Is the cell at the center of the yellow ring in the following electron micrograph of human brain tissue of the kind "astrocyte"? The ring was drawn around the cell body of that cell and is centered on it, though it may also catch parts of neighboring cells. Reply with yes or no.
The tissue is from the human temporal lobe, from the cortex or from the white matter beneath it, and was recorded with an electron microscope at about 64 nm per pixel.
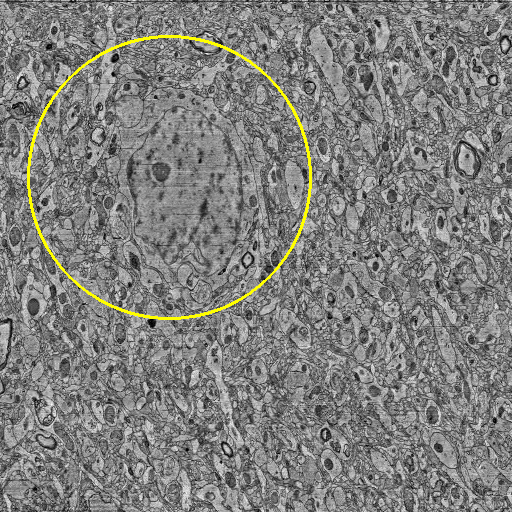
No, it is of another kind.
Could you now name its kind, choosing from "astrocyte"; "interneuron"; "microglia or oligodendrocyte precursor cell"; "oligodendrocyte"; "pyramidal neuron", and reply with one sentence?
The cell ringed in the picture is an interneuron.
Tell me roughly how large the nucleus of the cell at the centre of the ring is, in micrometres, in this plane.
The nucleus comes to roughly 11 by 7 micrometres in this plane.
